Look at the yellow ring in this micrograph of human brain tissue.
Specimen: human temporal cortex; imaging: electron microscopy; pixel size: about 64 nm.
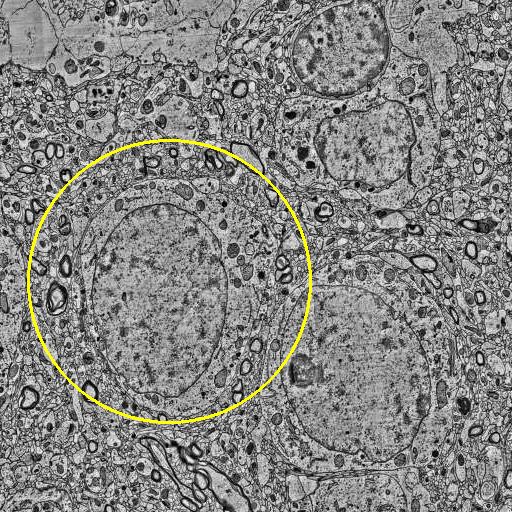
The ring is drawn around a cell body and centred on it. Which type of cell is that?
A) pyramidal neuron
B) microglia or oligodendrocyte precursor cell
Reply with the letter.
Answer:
A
